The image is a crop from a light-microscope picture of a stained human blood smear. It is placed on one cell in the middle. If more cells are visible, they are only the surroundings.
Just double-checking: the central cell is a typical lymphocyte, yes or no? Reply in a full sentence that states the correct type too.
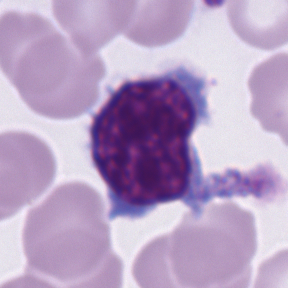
Yes, the cell at the crop's center is a typical lymphocyte.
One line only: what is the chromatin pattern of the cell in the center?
Chromatin in the nucleus here is coarsely clumped.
